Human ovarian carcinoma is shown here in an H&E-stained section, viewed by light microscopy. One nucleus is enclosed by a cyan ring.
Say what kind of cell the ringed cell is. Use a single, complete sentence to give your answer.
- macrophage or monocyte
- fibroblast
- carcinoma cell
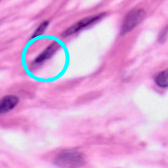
Among the cells in this section, the ringed cell is a fibroblast.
